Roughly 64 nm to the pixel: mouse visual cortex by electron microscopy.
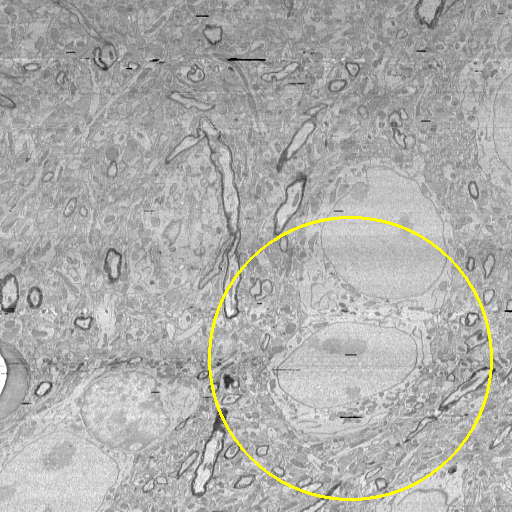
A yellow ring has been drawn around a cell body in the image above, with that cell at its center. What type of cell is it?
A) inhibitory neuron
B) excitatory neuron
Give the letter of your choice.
B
